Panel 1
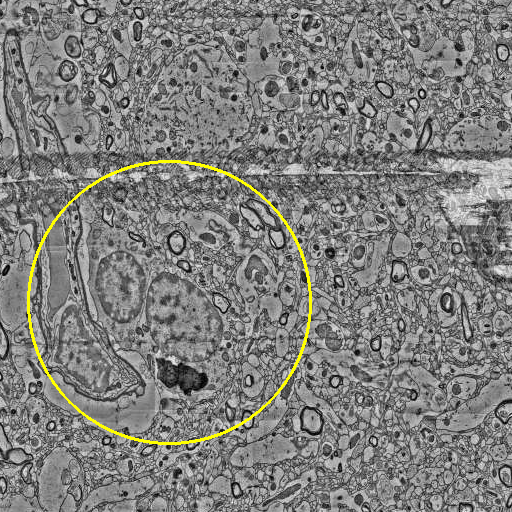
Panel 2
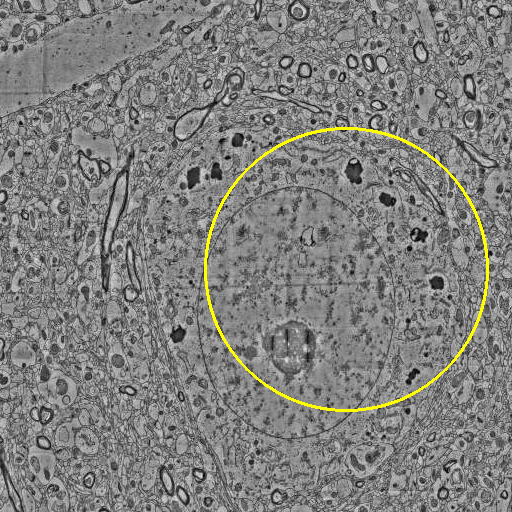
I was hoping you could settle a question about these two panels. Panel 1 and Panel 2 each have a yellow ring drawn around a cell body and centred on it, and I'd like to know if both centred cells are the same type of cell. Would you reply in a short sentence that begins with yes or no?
No, they are two types of cell.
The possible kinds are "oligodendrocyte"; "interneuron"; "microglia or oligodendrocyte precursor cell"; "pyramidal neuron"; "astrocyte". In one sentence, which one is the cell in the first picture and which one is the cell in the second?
The cell ringed in the second picture is a pyramidal neuron, whereas the one ringed in the first is an oligodendrocyte.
